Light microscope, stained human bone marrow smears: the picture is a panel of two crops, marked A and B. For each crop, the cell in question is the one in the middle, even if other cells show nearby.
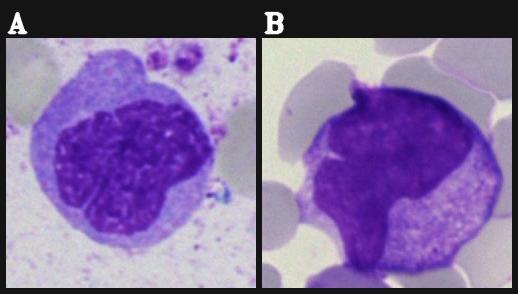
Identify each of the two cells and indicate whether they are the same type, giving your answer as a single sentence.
Yes, monocytes are seen in both crops.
